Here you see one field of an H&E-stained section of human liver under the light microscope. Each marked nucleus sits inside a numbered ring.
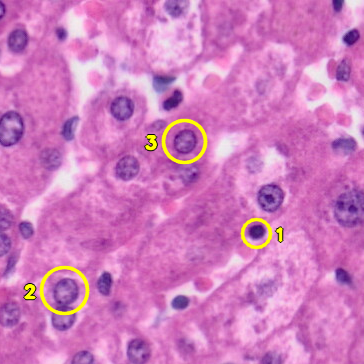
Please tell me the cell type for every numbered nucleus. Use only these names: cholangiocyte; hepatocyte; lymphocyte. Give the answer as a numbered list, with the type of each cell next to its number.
1. lymphocyte
2. hepatocyte
3. hepatocyte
